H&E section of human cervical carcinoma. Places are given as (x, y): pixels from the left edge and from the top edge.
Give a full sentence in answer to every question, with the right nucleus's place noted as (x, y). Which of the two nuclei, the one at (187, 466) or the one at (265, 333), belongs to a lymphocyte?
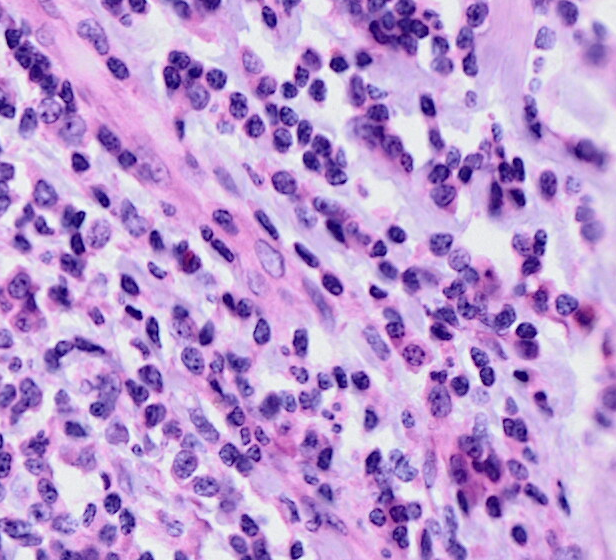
Of the pair, the nucleus positioned at (265, 333) is that of a lymphocyte.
